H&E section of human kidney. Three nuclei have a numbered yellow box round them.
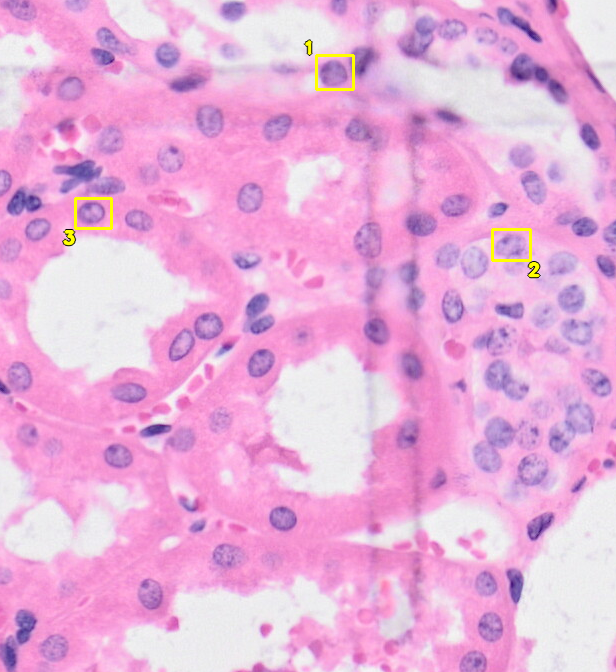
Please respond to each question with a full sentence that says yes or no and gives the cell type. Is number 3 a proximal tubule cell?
Yes, the marked cell with number 3 is a proximal tubule cell.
